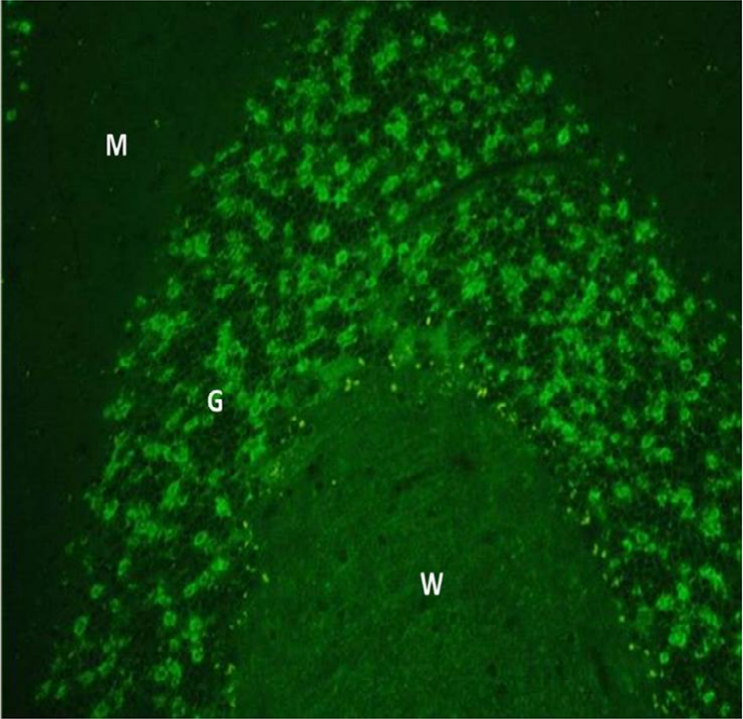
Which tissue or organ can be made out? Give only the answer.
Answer: cerebellum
